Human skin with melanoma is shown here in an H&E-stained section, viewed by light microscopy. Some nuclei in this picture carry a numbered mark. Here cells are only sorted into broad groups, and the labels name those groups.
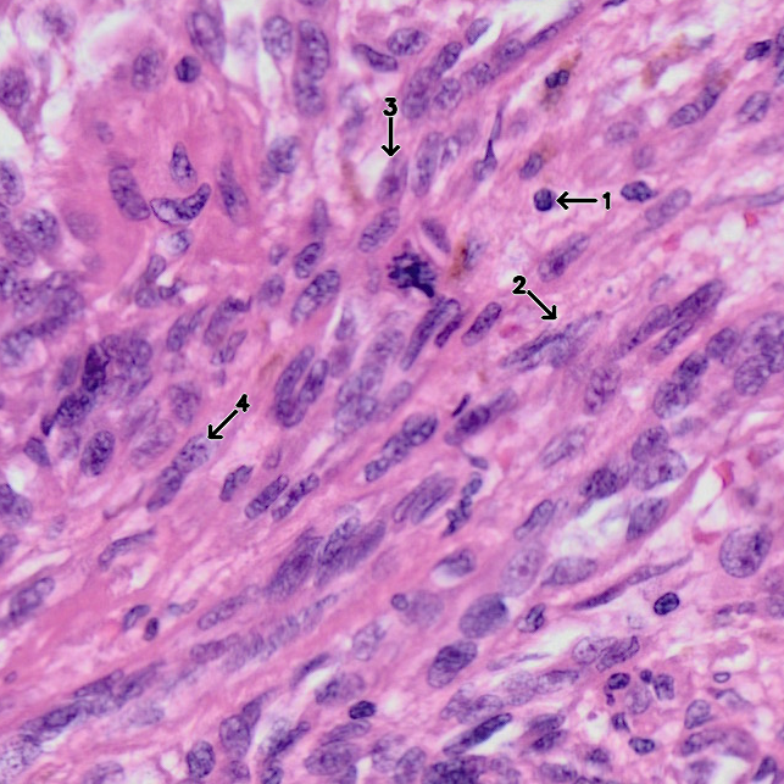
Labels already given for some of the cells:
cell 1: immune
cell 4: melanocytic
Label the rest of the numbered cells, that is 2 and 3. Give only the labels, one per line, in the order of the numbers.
melanocytic
melanocytic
